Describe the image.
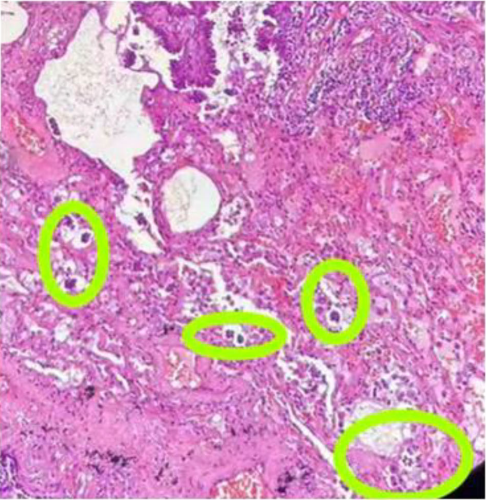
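This is lung tissue in which small clusters of tumor cells with dark purple nuclei float freely inside alveolar spaces, apart from the main tumor. Around them lie pink, densely eosinophilic tissue and thin alveolar walls, with scattered red blood cells and some black pigment specks.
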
